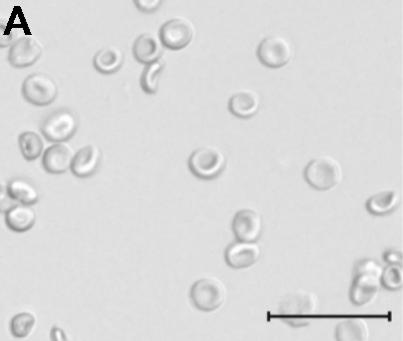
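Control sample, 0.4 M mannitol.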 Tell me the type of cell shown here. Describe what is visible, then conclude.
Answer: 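Many discs show a paler, dished centre. Some cells seen edge-on as curved, cup-like shapes. That points to this answer: erythrocytes.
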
